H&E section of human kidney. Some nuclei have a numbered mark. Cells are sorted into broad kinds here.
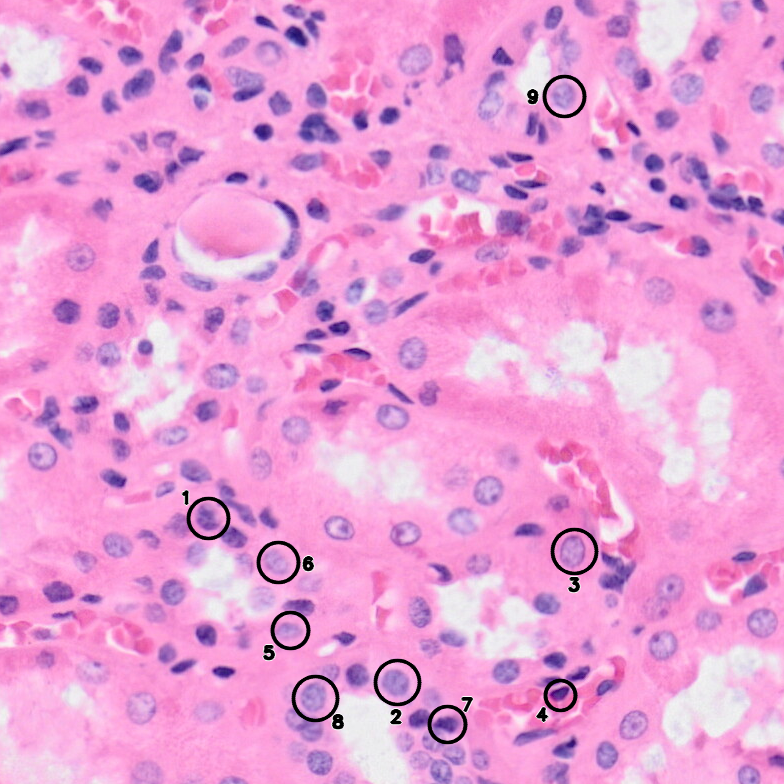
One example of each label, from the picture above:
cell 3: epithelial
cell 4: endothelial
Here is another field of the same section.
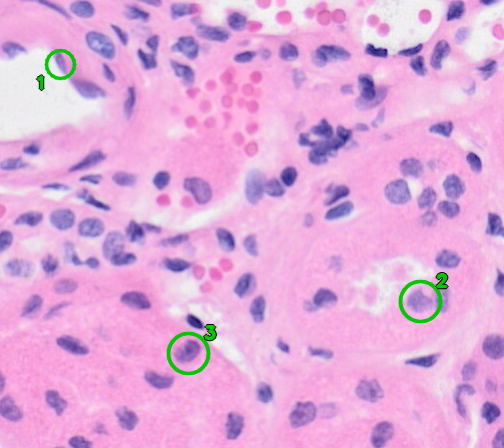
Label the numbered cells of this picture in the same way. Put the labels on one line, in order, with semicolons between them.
endothelial; epithelial; epithelial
